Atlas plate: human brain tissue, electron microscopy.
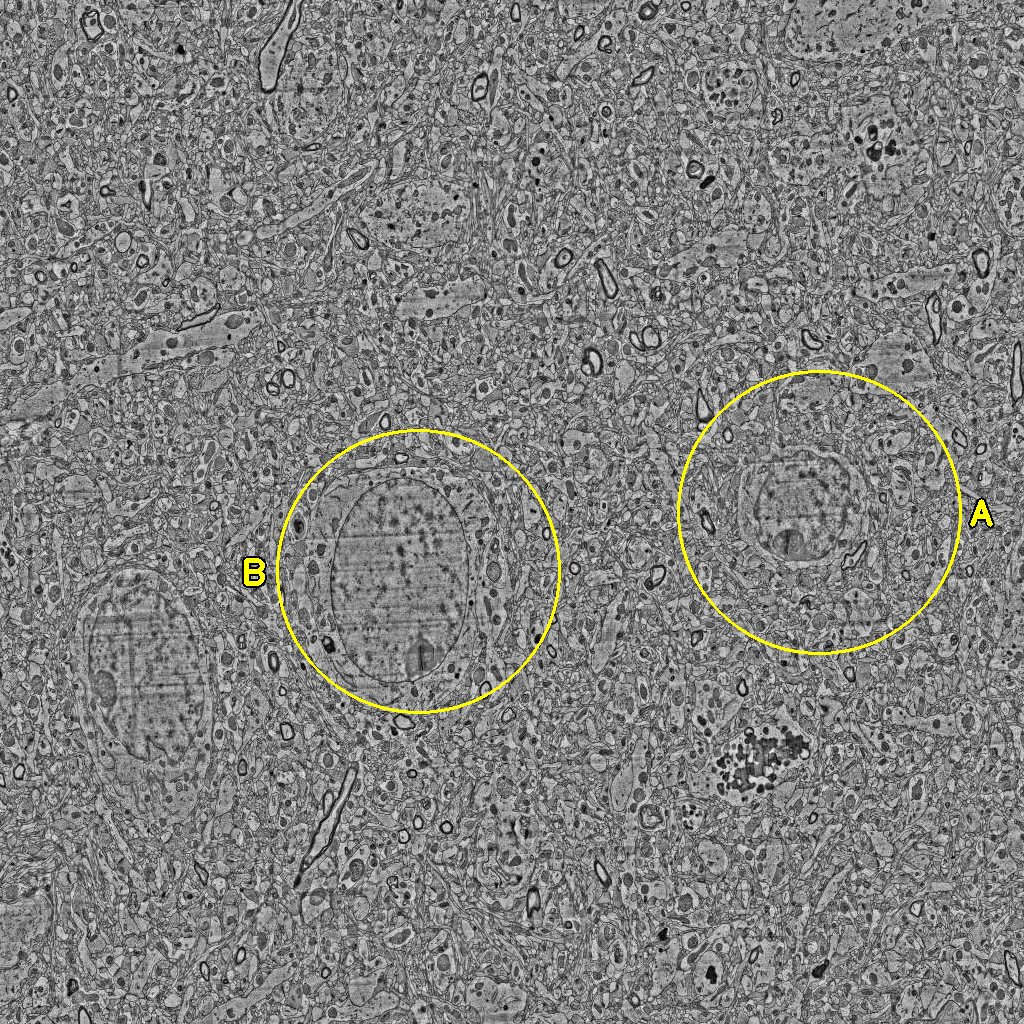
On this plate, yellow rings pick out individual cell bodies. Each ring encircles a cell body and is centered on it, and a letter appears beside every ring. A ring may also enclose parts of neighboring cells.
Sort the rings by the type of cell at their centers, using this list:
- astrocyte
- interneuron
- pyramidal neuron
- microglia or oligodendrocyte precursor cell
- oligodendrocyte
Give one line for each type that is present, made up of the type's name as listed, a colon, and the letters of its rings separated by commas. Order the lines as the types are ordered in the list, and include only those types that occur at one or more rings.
interneuron: A
pyramidal neuron: B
